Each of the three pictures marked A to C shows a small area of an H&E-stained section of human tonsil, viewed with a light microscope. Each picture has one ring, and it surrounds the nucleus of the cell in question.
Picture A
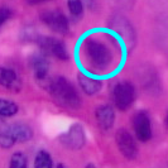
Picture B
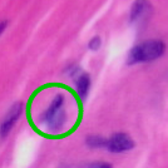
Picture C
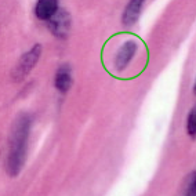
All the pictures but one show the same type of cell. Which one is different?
A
